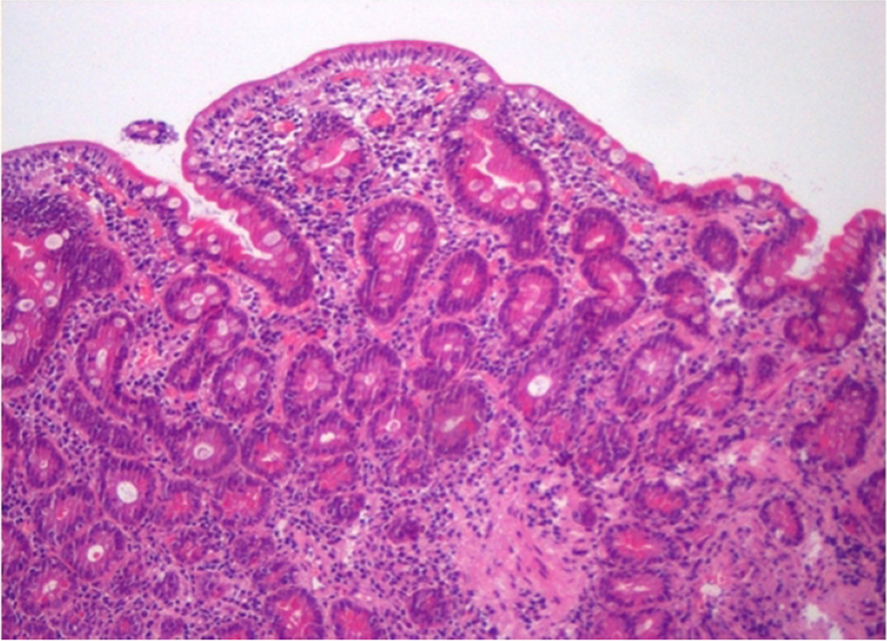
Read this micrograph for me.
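This is small intestinal mucosa with a nearly flat surface, where the villi are reduced to short, broad bulges lined by tall columnar epithelium with scattered pale goblet cells. Below the surface, many tubular crypts cut in cross and oblique section fill most of the mucosa, each lined by columnar cells with dark basal nuclei and pale goblet cells around a small lumen. The lamina propria between the crypts is crowded with small round cells with dark nuclei, a dense inflammatory infiltrate. This infiltrate extends right up beneath the surface epithelium. A pinker, less cellular band of fibromuscular tissue is seen in the lower middle part of the field.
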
